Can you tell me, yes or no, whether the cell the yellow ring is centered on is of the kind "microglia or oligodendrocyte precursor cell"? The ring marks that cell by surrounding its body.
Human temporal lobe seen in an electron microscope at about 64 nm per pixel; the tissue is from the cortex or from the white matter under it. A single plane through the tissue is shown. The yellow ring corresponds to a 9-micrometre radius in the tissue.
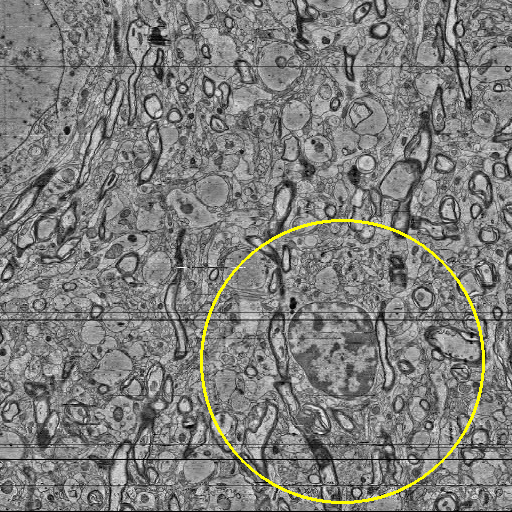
yes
